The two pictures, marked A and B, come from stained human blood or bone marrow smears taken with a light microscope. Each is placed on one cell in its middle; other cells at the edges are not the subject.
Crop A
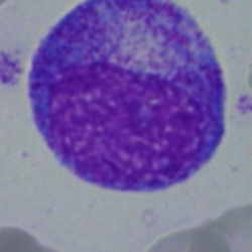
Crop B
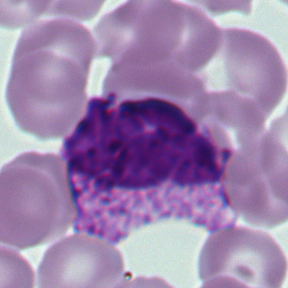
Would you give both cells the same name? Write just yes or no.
no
